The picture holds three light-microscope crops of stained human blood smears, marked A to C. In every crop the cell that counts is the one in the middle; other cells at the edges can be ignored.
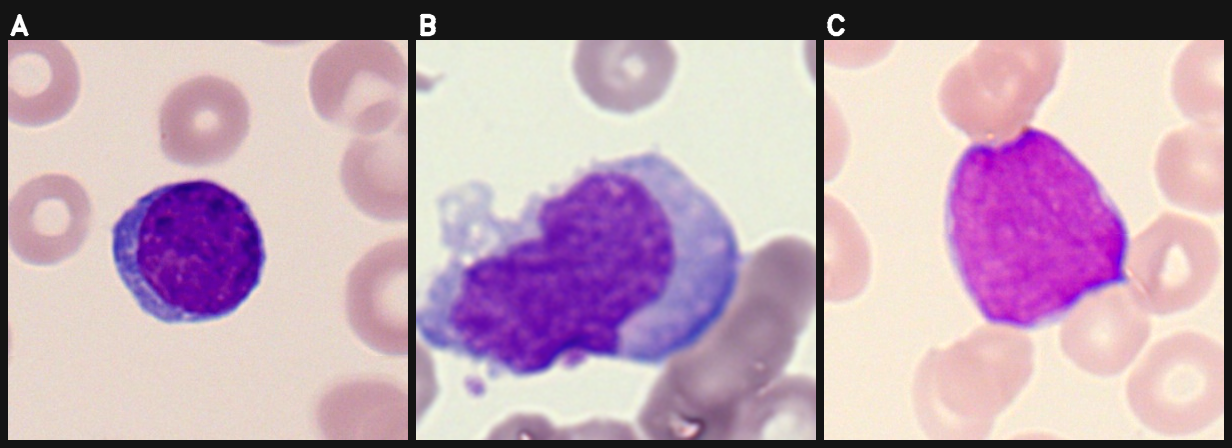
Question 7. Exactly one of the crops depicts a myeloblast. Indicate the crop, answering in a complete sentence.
The cell at the center of crop C is the one that is a myeloblast.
